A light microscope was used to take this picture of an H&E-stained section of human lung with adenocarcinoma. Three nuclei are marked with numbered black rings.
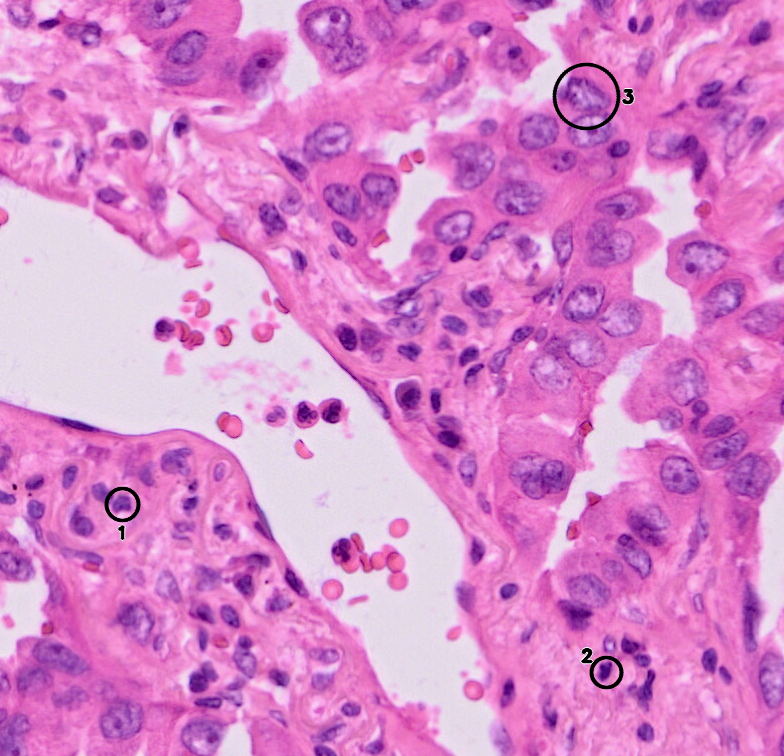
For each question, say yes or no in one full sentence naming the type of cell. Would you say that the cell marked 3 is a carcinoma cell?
Yes, the cell sitting at number 3 is a carcinoma cell.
